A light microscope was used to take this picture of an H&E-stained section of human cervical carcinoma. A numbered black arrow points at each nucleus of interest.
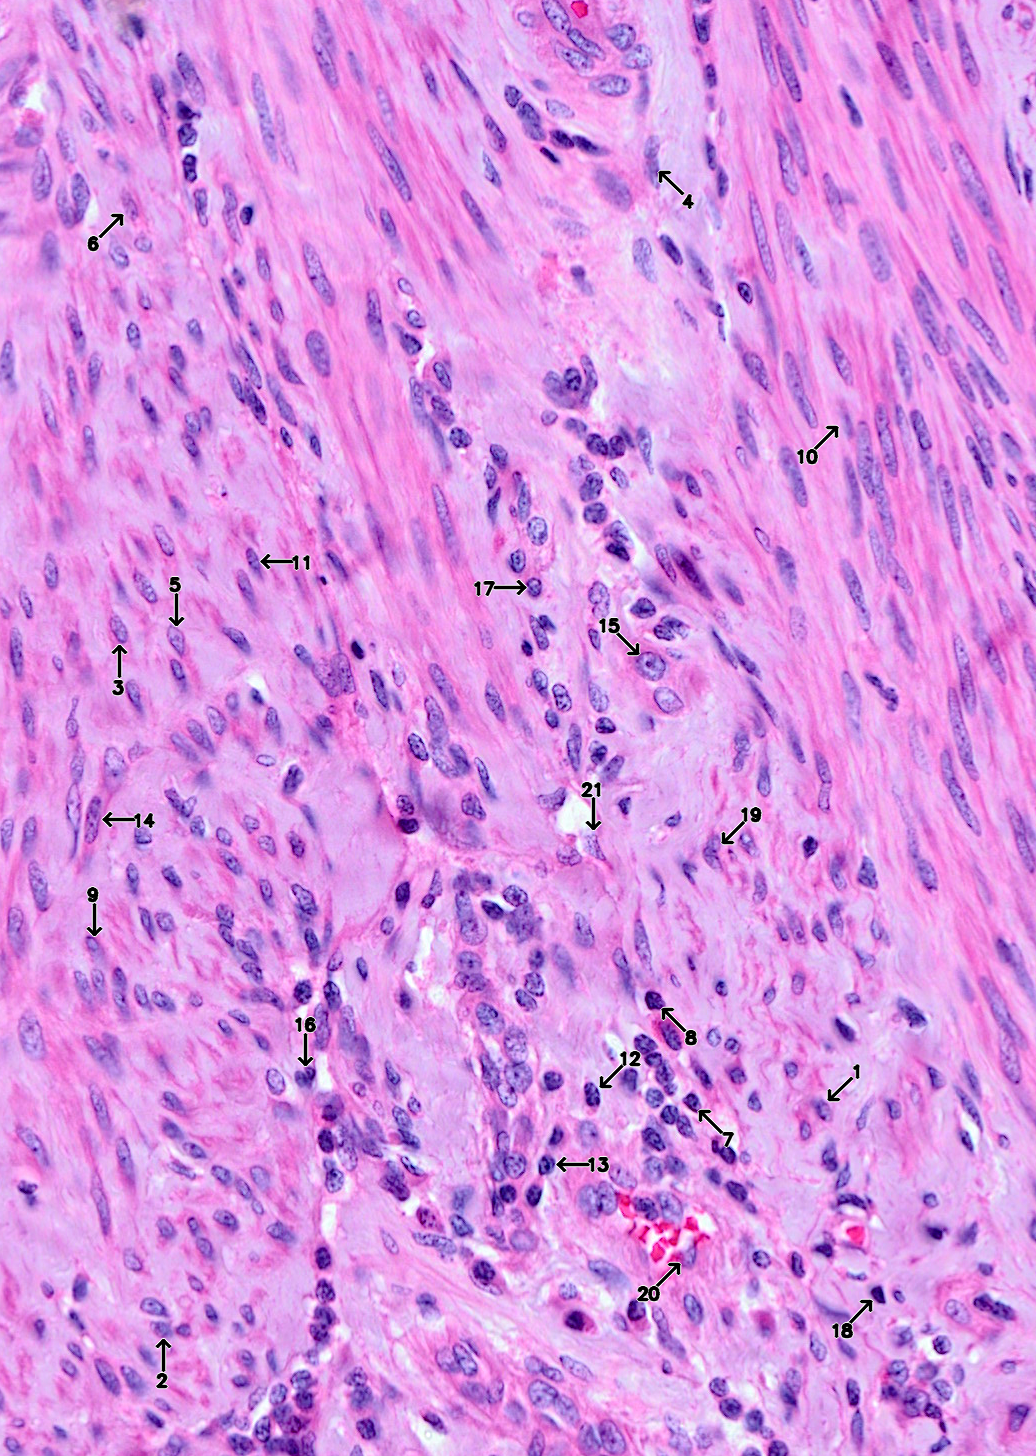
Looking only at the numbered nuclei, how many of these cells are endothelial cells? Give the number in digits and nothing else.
3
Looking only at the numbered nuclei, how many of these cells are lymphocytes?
6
